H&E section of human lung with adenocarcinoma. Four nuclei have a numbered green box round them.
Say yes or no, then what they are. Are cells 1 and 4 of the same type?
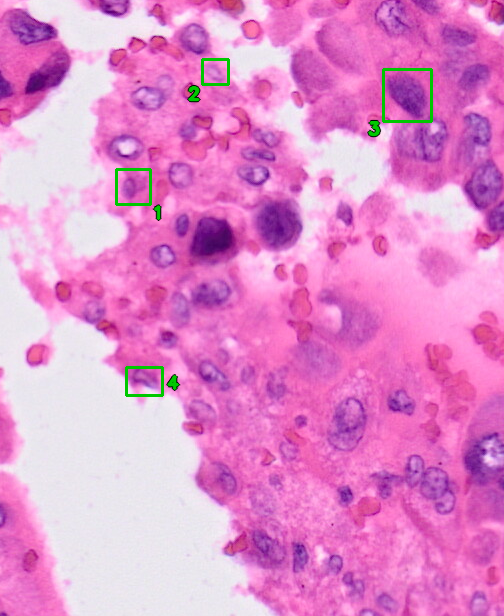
Yes, the two cells, 1 and 4, are both macrophages or monocytes.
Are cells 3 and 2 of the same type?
No, that's wrong; cell 3 is a carcinoma cell and cell 2 is a macrophage or monocyte.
